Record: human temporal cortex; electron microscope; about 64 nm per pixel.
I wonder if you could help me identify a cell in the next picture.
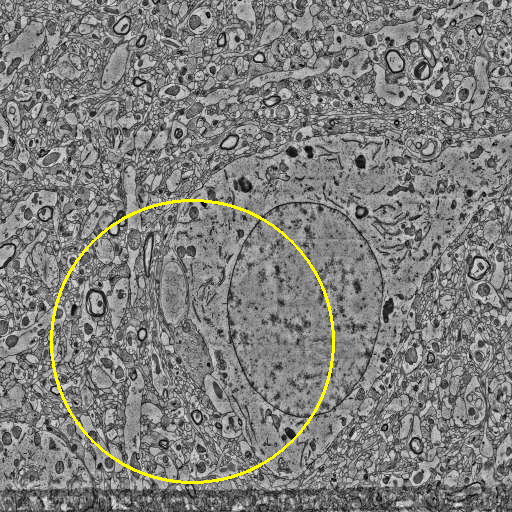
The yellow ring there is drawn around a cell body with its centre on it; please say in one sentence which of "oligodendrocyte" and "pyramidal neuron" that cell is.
The yellow ring is centred on an oligodendrocyte.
